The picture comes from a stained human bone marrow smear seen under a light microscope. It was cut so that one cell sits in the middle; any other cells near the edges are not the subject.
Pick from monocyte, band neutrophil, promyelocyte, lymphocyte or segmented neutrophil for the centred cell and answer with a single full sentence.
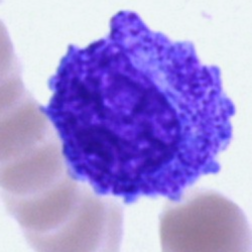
Regarding the central cell, it is a promyelocyte.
